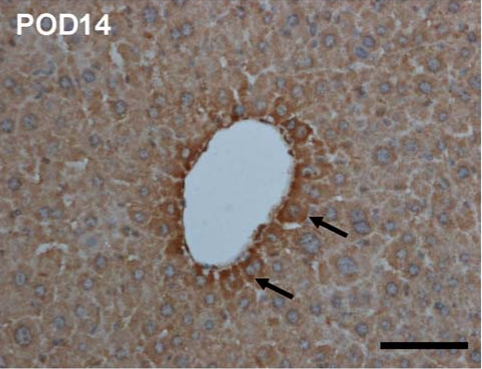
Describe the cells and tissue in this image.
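Liver parenchyma with cords of large polygonal hepatocytes with round, pale nuclei radiates from a large central vessel, separated by narrow sinusoids. Brown cytoplasmic staining is present throughout, densest in the hepatocytes lining the vessel and fading outward.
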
